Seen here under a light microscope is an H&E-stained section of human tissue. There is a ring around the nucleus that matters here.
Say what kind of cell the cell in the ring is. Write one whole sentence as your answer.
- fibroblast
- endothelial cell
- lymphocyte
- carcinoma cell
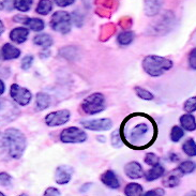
In this section of tissue, the cell in the ring is a lymphocyte.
